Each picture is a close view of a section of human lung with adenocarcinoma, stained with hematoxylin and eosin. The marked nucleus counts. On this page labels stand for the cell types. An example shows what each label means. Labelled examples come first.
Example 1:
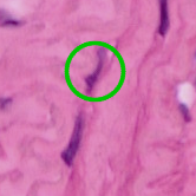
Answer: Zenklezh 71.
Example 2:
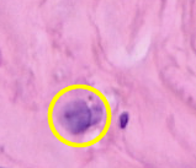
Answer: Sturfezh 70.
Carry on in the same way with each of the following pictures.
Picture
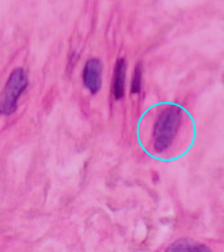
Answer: Zenklezh 71.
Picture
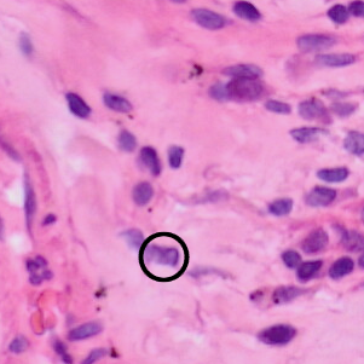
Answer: Sturfezh 70.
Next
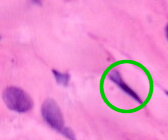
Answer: Sturfezh 70.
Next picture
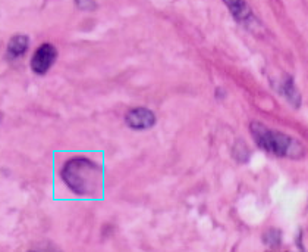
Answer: Sturfezh 70.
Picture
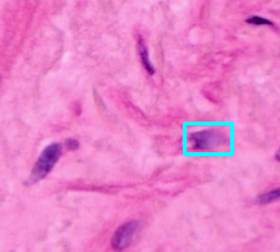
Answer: Zenklezh 71.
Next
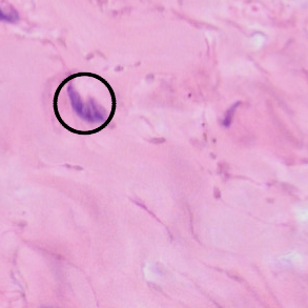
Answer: Sturfezh 70.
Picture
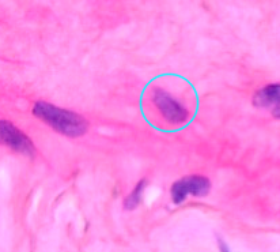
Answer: Zenklezh 71.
